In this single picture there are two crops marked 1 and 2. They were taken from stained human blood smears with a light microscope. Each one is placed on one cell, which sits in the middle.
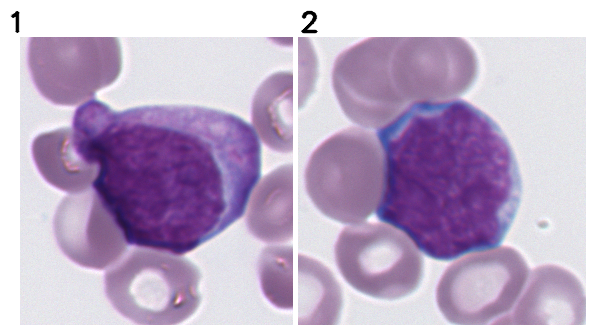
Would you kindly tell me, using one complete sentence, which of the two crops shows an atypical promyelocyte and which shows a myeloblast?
Crop 1 is classified as an atypical promyelocyte, and crop 2 as a myeloblast.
